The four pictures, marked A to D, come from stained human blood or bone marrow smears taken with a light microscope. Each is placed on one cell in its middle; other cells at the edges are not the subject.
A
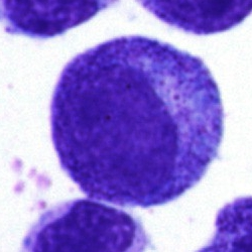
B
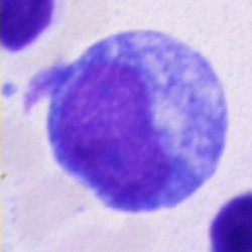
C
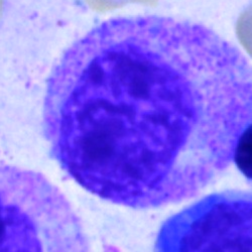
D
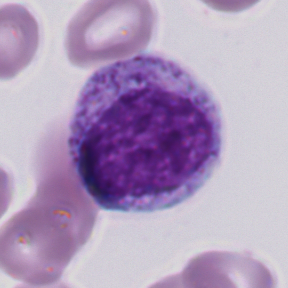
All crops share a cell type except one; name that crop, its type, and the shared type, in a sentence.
Found in all crops but one are myelocytes; the exception, crop B, contains a promyelocyte.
